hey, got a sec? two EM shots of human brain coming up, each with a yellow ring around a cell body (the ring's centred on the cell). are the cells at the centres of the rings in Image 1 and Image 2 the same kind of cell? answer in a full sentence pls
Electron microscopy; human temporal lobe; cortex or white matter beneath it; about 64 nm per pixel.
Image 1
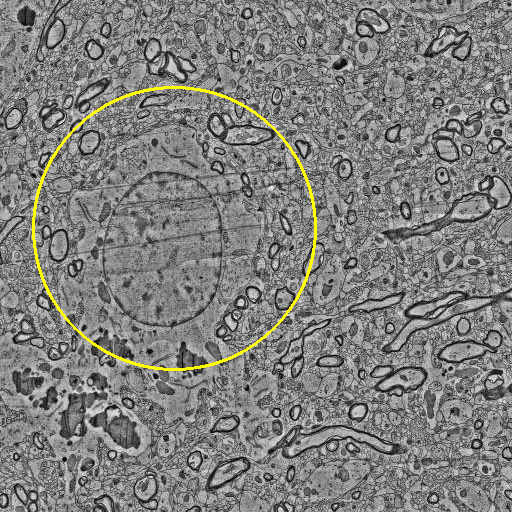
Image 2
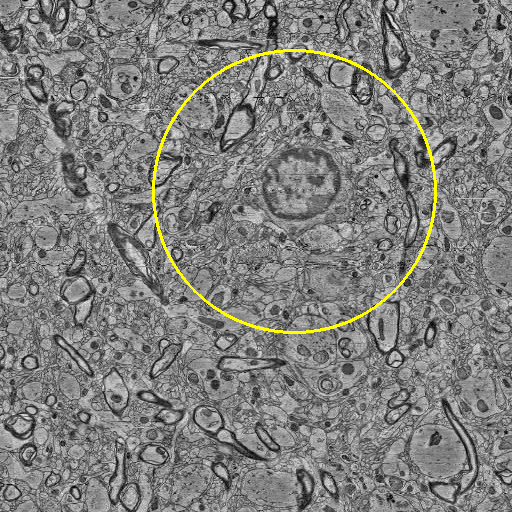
No, they are two kinds of cell.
